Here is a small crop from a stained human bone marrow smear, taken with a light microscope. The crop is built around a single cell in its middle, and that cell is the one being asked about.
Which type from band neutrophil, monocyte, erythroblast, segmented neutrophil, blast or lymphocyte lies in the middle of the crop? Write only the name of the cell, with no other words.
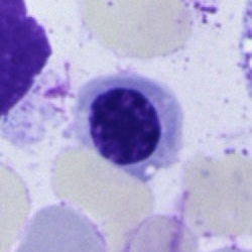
erythroblast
